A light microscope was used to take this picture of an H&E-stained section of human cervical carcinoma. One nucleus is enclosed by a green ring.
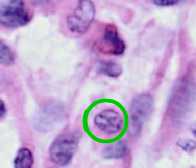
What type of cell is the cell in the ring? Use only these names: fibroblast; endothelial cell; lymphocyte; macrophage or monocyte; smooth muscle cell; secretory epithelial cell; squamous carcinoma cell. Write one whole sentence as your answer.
On this particular slide, the cell in the ring is a macrophage or monocyte.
